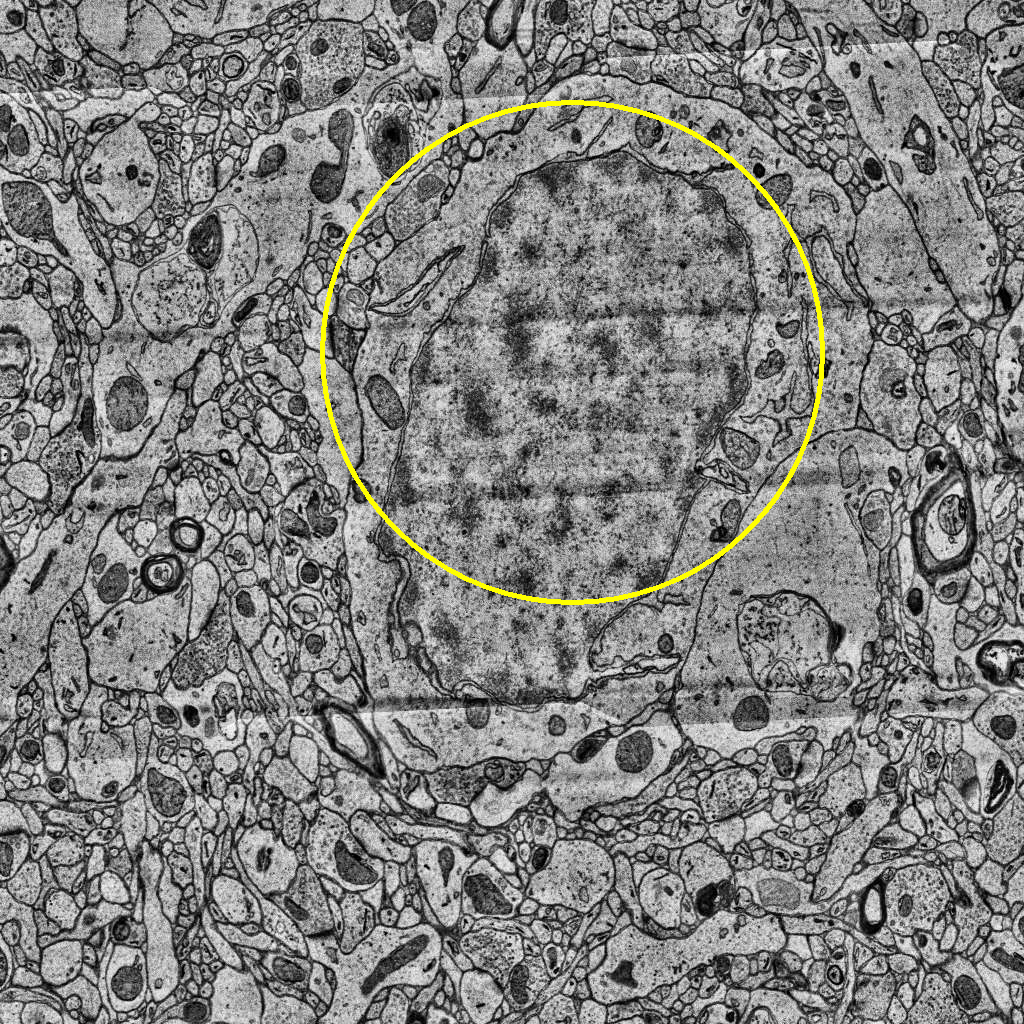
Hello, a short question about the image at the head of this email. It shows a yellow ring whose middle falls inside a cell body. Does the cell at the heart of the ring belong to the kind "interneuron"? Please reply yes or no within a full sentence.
Yes, the cell at the heart of the ring in that image is of that kind.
